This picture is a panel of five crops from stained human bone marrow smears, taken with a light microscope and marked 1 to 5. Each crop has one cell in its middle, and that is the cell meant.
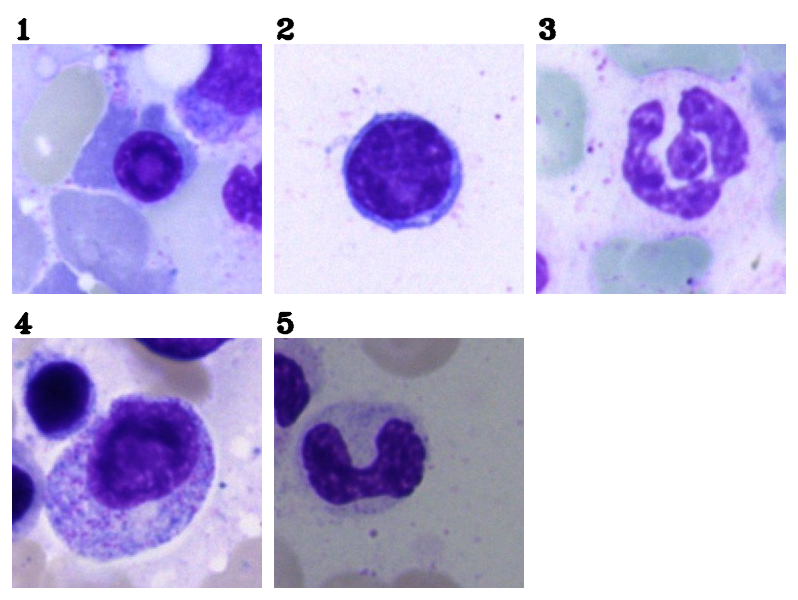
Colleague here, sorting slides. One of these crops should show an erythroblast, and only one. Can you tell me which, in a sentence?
The one crop in the set with an erythroblast is crop 1.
